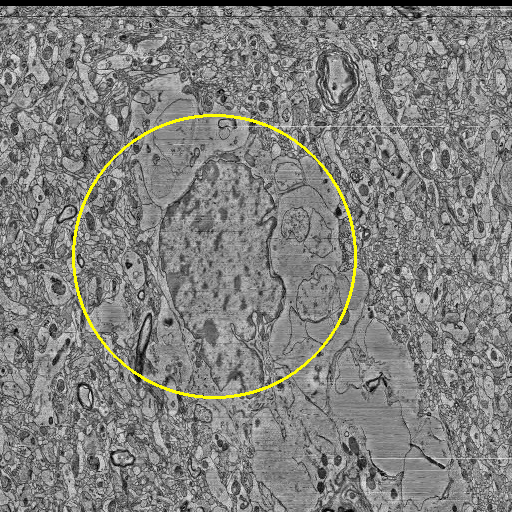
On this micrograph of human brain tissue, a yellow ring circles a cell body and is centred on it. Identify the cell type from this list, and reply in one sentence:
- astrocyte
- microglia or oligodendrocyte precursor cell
The cell at the centre is a microglial cell or oligodendrocyte precursor cell.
